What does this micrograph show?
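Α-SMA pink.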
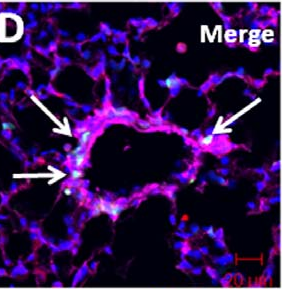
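This is lung tissue with a small pulmonary vessel in cross section, its open lumen surrounded by a thick, bright pink smooth muscle wall and embedded among thin, lace-like alveolar septa. A few green cells lie within the vessel wall, where they appear whitish where the colours overlap, and blue nuclei are scattered through the wall and the septa.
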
